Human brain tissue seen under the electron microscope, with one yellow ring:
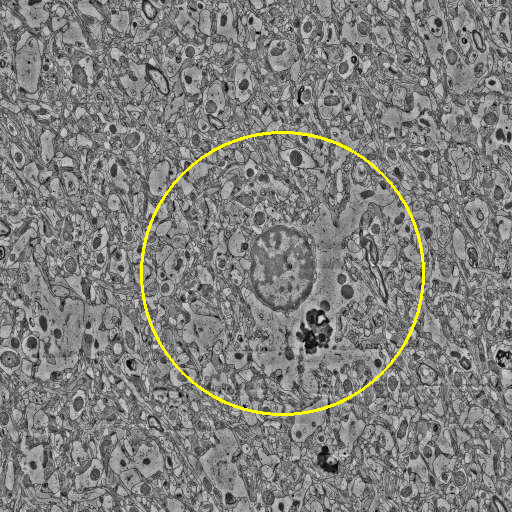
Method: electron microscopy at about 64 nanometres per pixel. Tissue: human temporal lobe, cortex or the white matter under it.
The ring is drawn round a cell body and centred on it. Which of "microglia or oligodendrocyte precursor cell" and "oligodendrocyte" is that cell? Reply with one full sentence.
The picture shows an oligodendrocyte at the very centre of the yellow ring.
